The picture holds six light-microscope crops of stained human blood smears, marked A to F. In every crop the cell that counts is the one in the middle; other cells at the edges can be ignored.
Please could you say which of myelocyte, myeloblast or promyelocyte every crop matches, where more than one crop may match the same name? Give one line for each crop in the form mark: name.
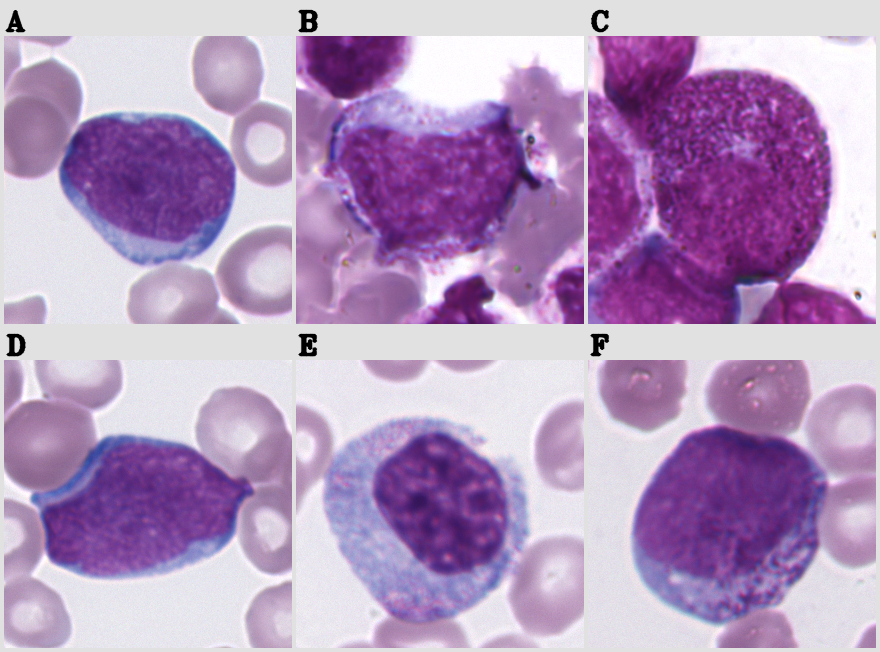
A: myeloblast
B: promyelocyte
C: promyelocyte
D: myeloblast
E: promyelocyte
F: promyelocyte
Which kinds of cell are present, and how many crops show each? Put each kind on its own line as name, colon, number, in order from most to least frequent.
promyelocyte: 4
myeloblast: 2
